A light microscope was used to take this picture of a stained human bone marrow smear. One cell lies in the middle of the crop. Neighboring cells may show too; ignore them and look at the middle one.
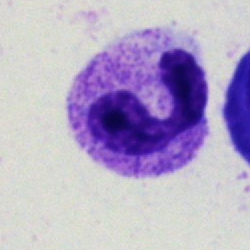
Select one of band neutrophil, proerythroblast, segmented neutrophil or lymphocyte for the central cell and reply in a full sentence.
By classification, the middle cell of this crop is a segmented neutrophil.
